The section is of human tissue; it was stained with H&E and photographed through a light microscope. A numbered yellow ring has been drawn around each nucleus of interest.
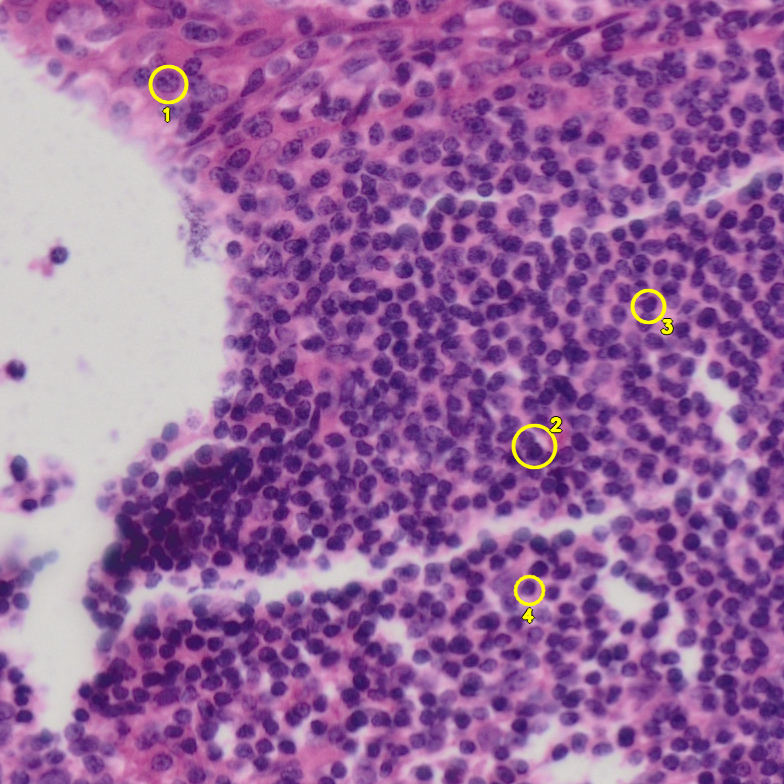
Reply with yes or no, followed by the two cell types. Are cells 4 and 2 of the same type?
Yes, the pair of cells 4 and 2 are both small lymphocytes.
